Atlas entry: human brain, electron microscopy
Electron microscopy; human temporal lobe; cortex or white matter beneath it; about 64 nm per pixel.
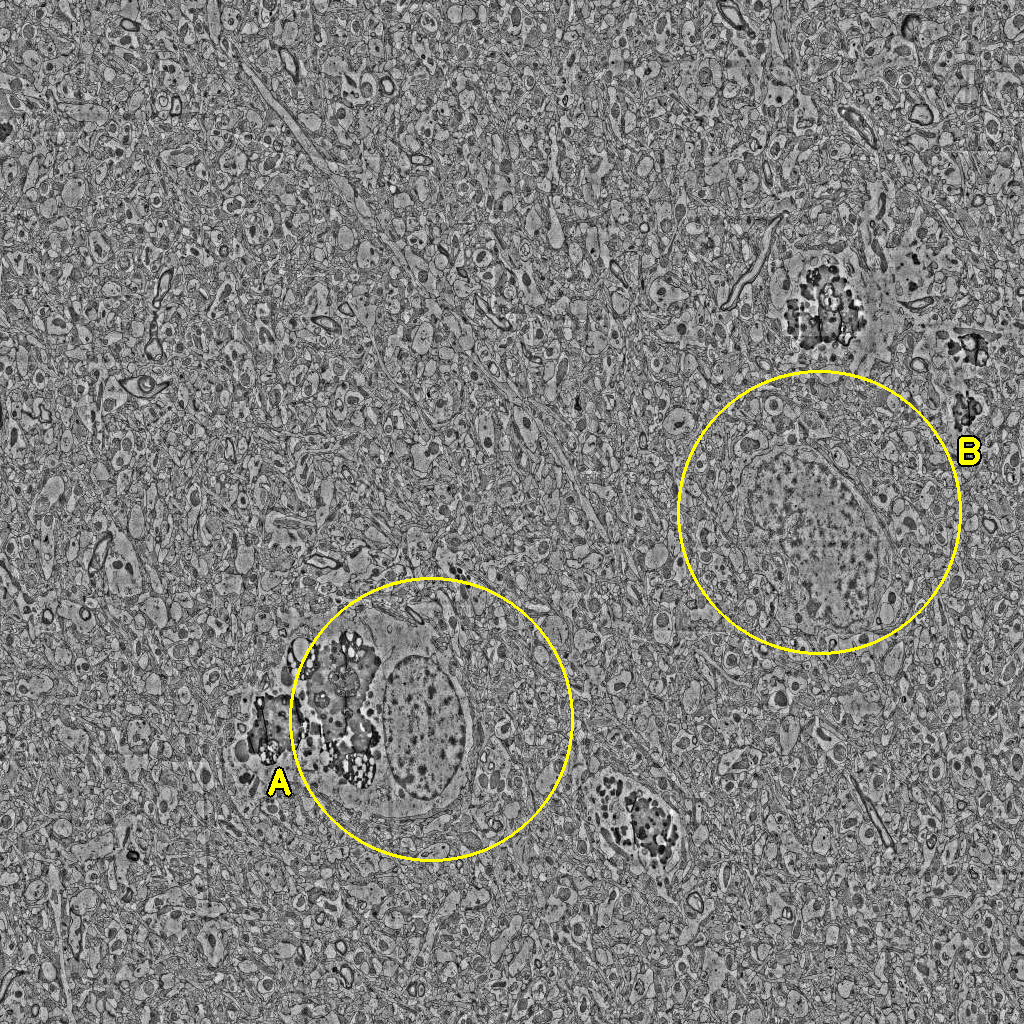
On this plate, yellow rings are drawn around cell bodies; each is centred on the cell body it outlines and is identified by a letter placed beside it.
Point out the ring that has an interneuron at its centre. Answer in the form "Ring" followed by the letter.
Ring B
